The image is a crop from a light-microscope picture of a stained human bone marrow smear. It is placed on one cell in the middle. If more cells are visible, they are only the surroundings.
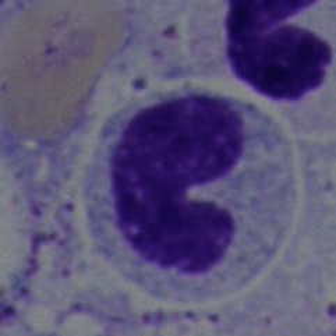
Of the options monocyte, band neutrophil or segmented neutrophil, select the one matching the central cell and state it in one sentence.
The cell at the central position in this crop is a band neutrophil.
